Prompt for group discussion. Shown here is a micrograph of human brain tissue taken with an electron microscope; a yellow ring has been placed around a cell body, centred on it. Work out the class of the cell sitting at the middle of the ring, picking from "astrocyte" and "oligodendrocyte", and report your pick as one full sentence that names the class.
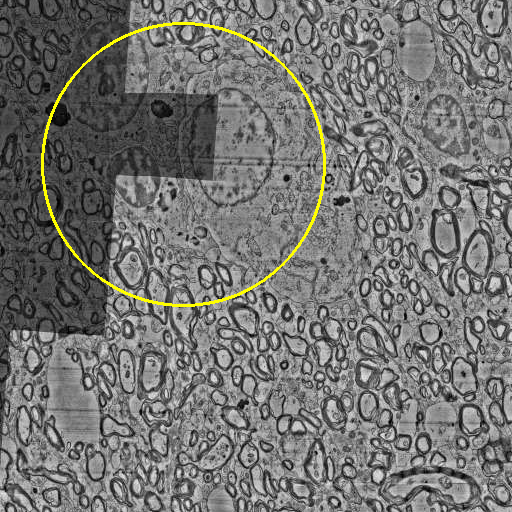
The cell sitting at the middle of the yellow ring is an oligodendrocyte.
